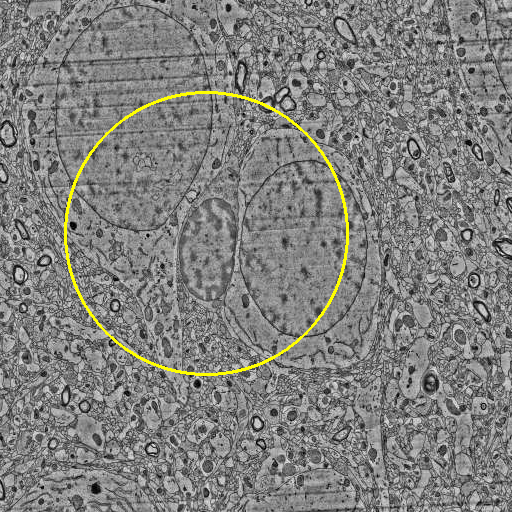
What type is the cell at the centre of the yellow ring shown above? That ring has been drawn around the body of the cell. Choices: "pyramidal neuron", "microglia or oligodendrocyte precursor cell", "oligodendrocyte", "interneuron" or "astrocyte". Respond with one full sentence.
My answer is that an oligodendrocyte lies at the centre of the yellow ring above.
